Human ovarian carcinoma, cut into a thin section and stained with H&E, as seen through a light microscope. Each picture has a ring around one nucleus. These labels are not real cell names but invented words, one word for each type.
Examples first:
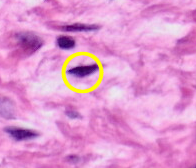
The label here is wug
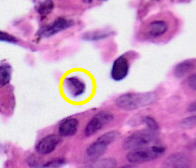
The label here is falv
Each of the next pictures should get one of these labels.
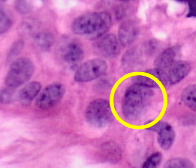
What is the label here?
falv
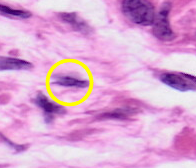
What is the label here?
wug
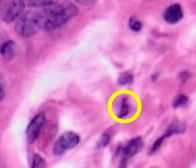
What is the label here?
wug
